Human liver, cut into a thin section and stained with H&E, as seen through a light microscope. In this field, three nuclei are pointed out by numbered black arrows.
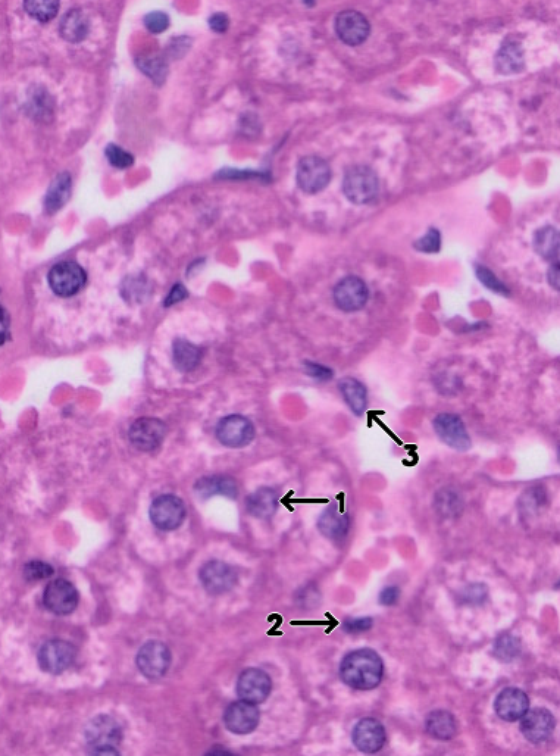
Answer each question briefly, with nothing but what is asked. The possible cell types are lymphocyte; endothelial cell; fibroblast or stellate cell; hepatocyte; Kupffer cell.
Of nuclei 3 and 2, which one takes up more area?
3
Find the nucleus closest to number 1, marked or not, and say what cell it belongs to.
endothelial cell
